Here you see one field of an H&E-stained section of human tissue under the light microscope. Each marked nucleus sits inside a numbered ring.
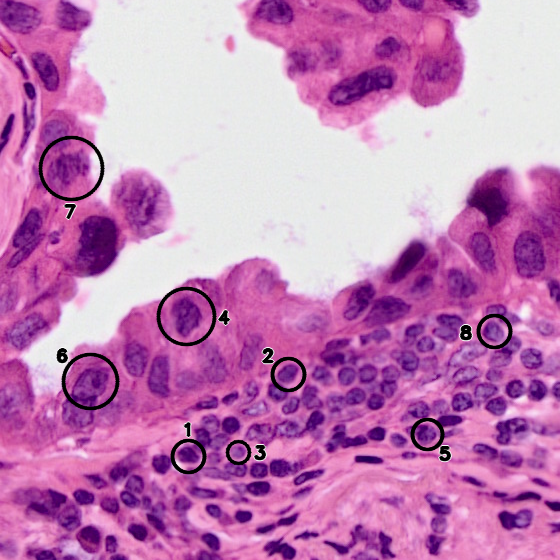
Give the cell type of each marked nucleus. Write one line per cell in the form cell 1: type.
cell 1: lymphocyte
cell 2: lymphocyte
cell 3: lymphocyte
cell 4: carcinoma cell
cell 5: lymphocyte
cell 6: carcinoma cell
cell 7: carcinoma cell
cell 8: lymphocyte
